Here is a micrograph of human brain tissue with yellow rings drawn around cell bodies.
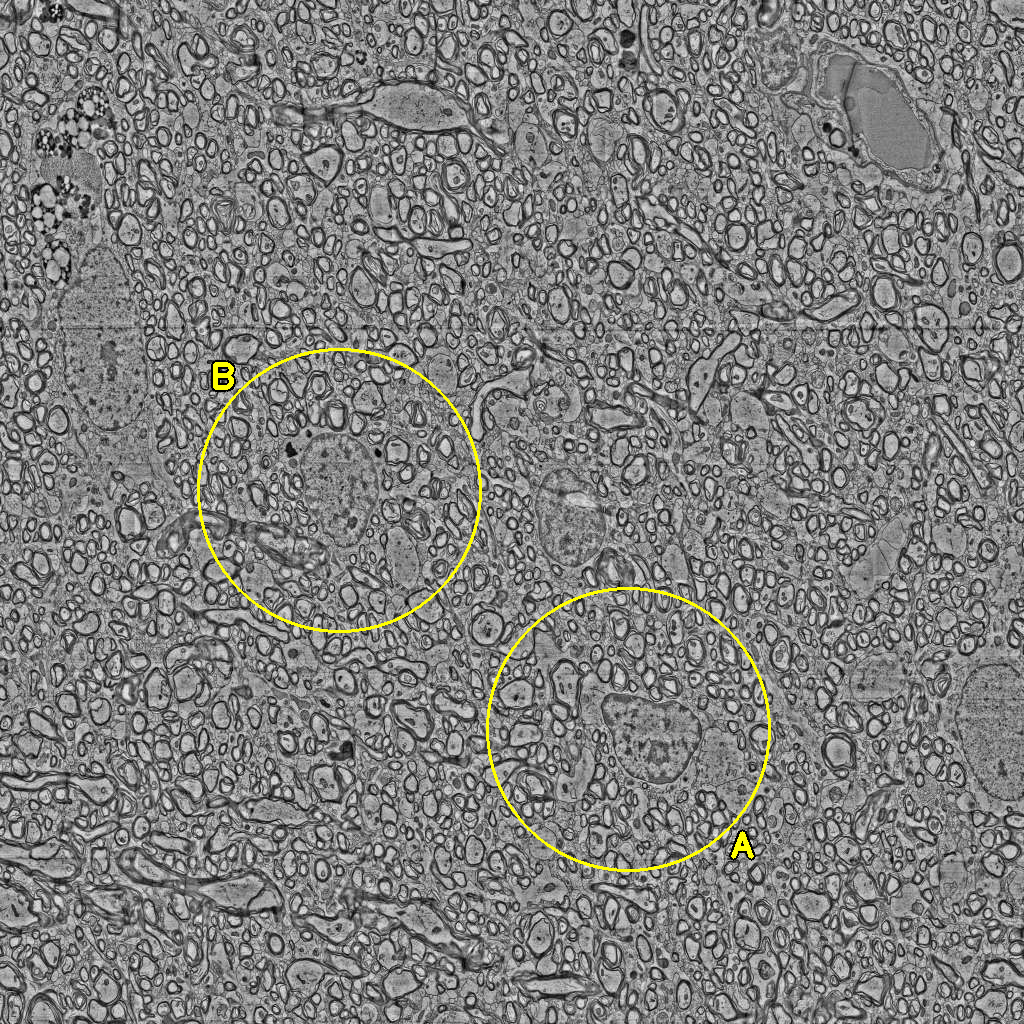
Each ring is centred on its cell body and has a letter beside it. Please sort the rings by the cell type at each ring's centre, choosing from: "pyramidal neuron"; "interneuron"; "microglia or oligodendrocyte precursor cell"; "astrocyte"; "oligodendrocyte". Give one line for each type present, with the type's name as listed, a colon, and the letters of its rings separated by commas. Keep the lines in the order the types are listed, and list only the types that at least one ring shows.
microglia or oligodendrocyte precursor cell: A
oligodendrocyte: B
